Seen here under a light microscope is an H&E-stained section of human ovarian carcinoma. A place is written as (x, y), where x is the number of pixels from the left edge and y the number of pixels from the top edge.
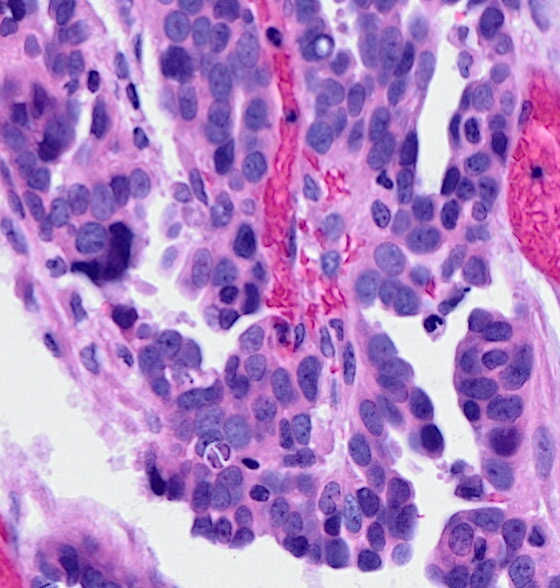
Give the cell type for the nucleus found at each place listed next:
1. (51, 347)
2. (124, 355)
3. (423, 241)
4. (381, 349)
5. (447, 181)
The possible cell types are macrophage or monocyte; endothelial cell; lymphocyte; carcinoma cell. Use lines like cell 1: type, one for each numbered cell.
cell 1: endothelial cell
cell 2: macrophage or monocyte
cell 3: carcinoma cell
cell 4: carcinoma cell
cell 5: carcinoma cell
